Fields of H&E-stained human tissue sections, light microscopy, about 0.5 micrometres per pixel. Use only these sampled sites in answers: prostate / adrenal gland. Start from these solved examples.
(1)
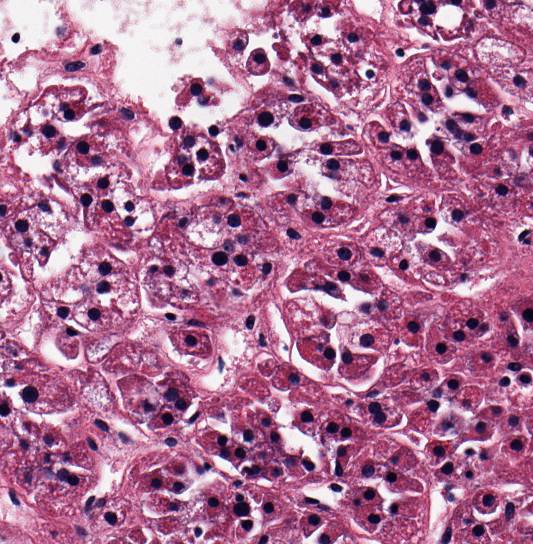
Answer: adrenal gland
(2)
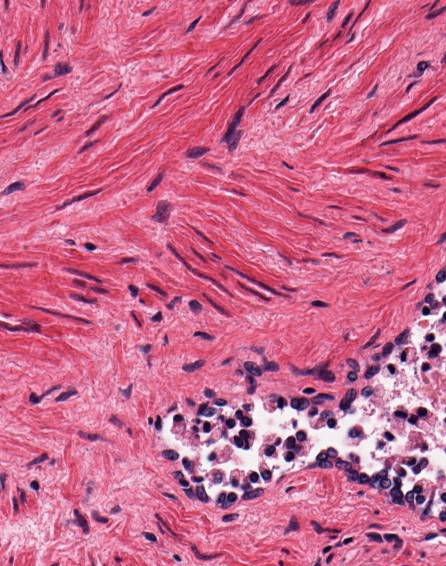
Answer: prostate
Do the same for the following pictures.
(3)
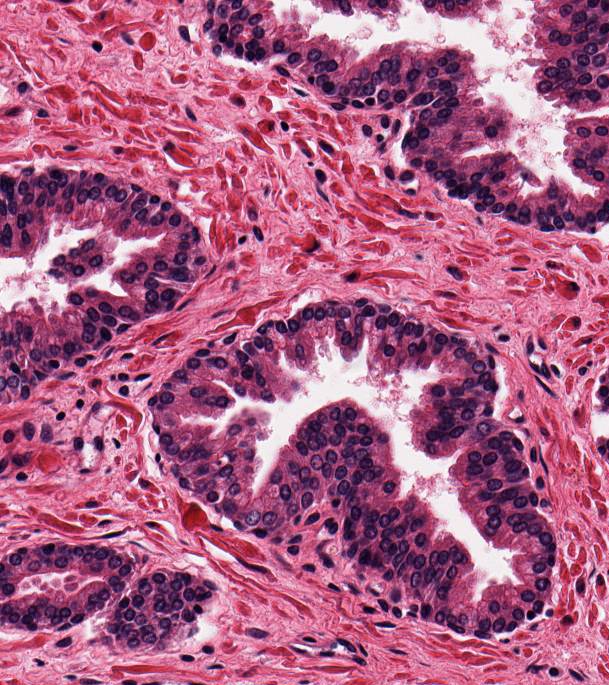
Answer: prostate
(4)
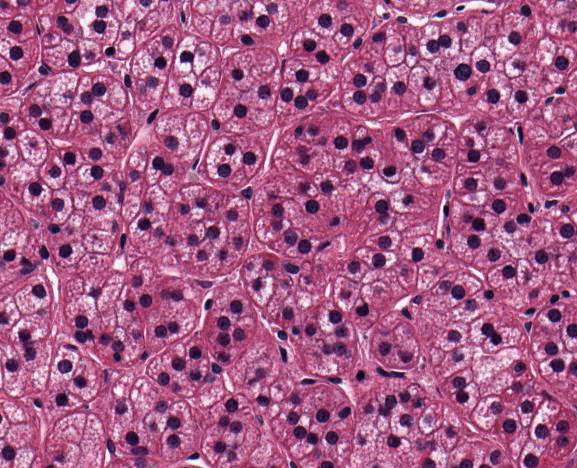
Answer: adrenal gland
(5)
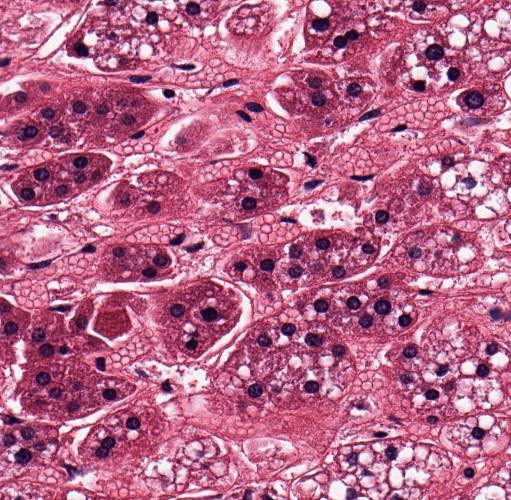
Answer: adrenal gland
